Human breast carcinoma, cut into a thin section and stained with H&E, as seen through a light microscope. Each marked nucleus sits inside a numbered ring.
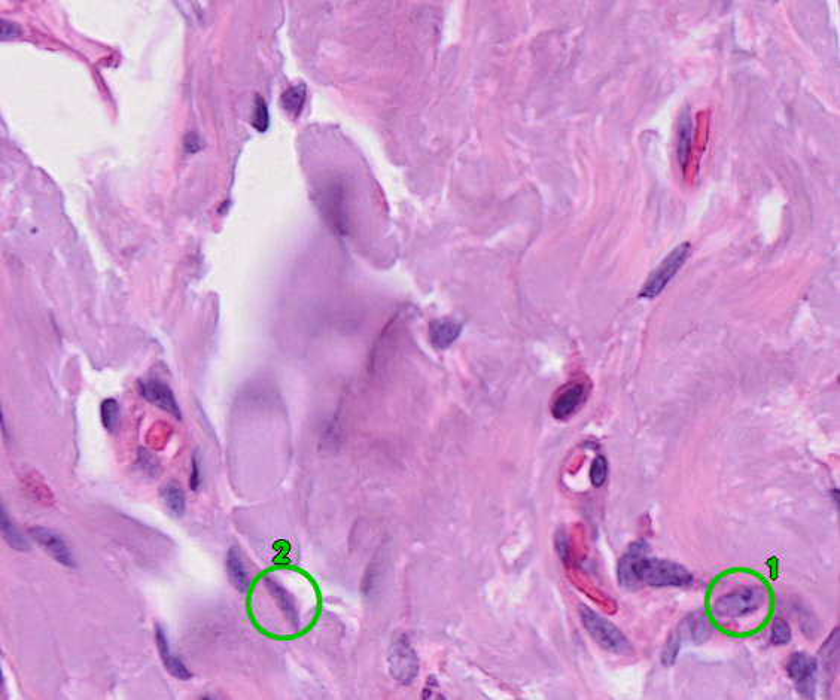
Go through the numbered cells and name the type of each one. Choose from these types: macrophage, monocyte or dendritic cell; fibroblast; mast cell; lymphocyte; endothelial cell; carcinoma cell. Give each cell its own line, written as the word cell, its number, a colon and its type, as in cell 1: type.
cell 1: endothelial cell
cell 2: fibroblast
